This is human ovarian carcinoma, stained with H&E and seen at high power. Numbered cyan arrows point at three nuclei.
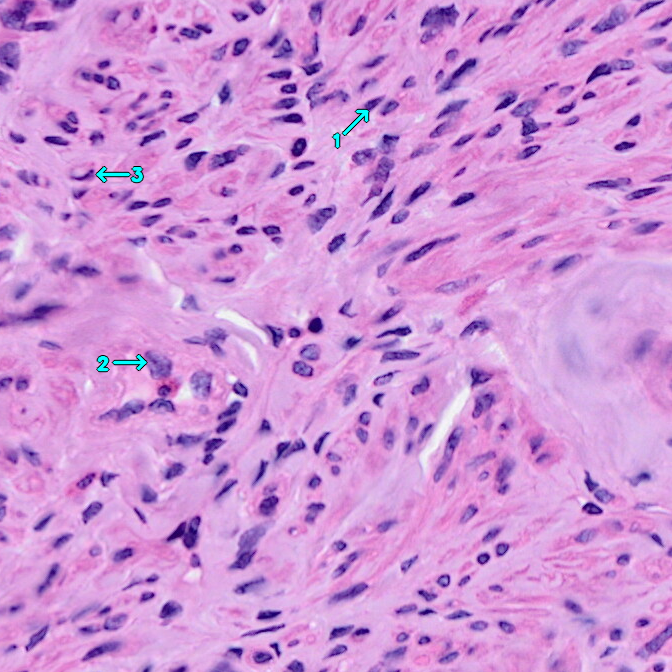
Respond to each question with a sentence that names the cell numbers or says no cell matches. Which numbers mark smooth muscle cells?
Identified as smooth muscle cells are the cells numbered 1 and 3.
